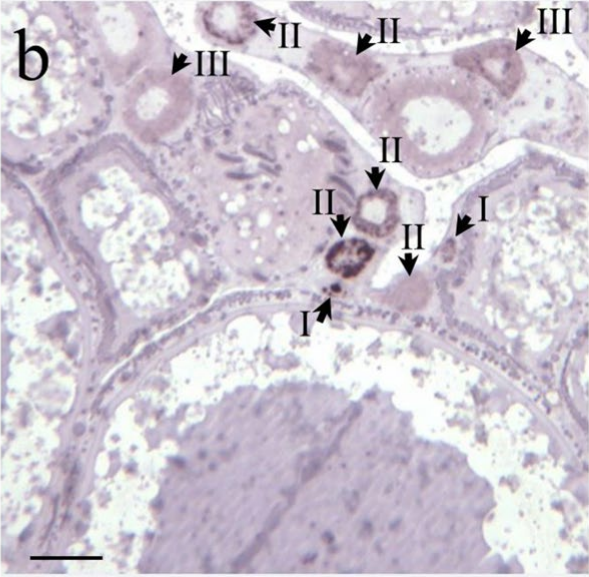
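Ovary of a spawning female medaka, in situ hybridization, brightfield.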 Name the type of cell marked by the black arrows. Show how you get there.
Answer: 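The smallest marked cells lie between much larger cells with vacuolated cytoplasm.
Hence: oocytes.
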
